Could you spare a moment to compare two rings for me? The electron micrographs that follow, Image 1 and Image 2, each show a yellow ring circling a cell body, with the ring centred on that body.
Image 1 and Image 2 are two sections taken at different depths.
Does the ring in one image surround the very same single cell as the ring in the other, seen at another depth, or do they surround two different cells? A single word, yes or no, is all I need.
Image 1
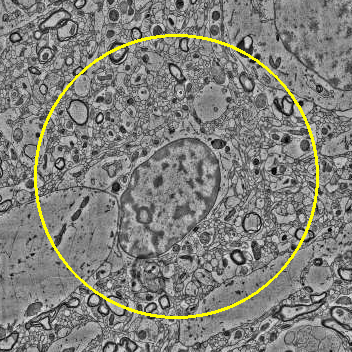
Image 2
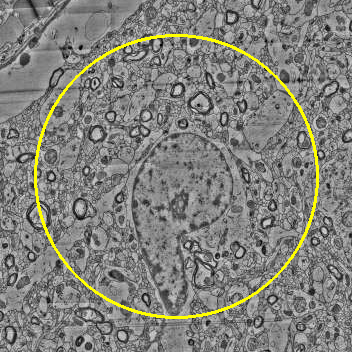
no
